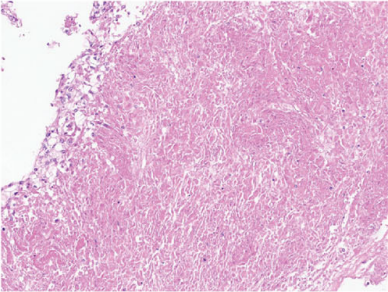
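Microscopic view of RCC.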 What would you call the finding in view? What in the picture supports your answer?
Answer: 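Large area of pale pink, structureless material. Very few intact nuclei within the pink area. Scattered cellular debris at the edge. The answer: tumor necrosis.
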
